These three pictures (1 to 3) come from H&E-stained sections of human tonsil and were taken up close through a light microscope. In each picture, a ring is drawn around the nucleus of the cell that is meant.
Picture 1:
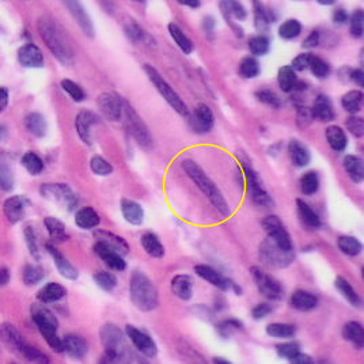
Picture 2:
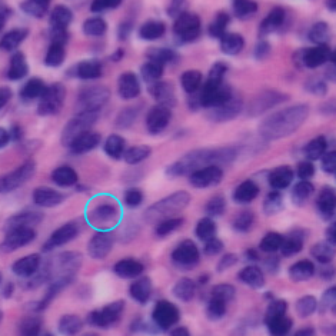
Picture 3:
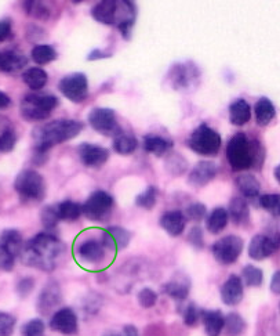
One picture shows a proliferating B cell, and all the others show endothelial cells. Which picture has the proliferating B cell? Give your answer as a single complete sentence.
The picture with the proliferating B cell is 3.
